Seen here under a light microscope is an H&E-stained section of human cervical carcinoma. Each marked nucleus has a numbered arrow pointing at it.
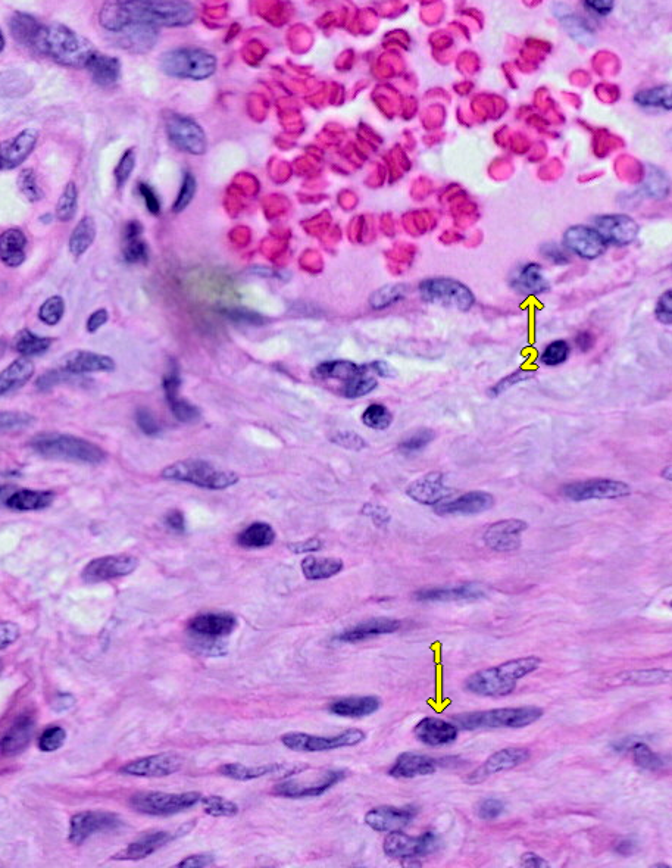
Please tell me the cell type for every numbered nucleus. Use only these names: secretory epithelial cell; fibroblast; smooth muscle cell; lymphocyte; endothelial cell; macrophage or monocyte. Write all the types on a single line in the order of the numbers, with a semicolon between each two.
lymphocyte; endothelial cell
